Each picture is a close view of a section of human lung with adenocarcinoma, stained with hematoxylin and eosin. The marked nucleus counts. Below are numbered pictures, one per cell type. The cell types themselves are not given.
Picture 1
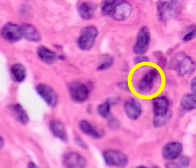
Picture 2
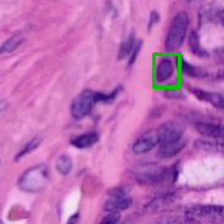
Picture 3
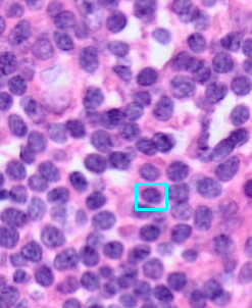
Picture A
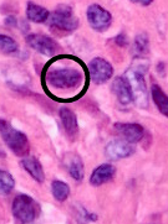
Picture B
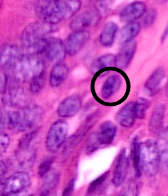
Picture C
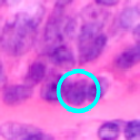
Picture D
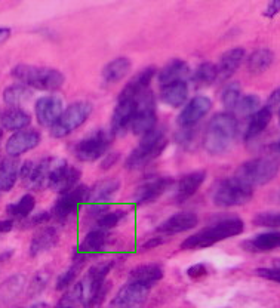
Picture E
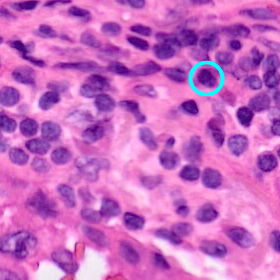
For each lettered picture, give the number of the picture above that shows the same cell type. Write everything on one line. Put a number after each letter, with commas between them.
A 1, B 2, C 2, D 2, E 1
